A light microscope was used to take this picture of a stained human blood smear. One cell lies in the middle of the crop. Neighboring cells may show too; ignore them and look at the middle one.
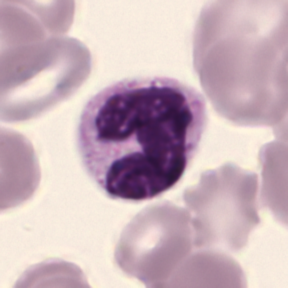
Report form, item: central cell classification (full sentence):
Among the cells in view, the one in the middle is a band neutrophil.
